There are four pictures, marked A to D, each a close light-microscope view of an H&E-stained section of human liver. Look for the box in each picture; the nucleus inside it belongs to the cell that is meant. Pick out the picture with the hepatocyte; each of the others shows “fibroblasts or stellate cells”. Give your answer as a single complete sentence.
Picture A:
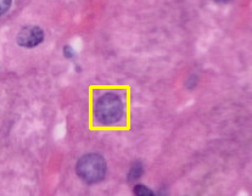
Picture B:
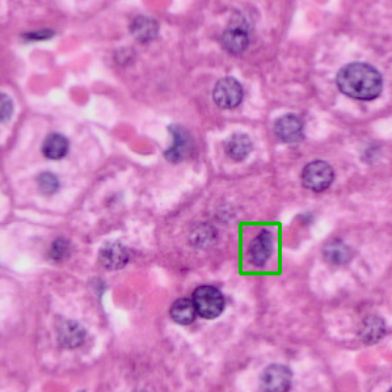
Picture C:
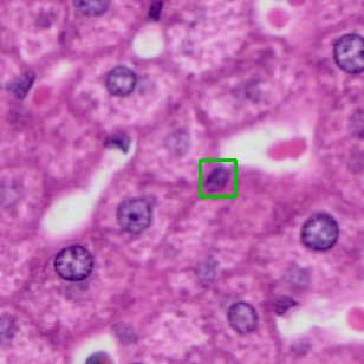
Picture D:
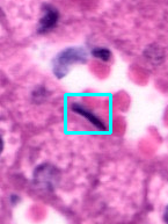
The hepatocyte is the one in picture A.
